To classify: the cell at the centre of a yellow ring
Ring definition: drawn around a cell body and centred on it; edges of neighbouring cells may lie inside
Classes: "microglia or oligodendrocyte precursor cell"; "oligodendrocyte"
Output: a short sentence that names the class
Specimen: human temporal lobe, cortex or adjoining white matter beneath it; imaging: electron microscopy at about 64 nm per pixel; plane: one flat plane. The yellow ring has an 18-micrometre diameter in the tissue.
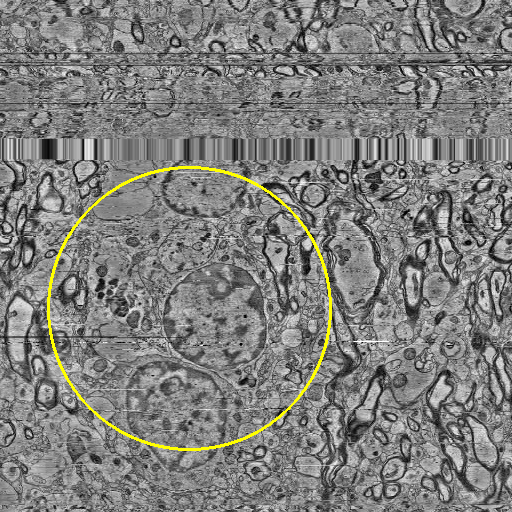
The ringed cell is a microglial cell or oligodendrocyte precursor cell.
